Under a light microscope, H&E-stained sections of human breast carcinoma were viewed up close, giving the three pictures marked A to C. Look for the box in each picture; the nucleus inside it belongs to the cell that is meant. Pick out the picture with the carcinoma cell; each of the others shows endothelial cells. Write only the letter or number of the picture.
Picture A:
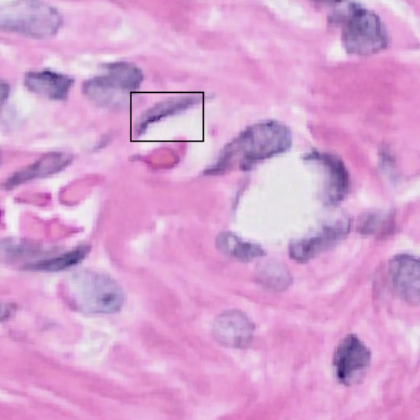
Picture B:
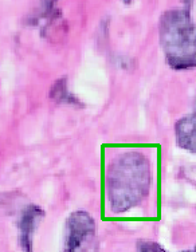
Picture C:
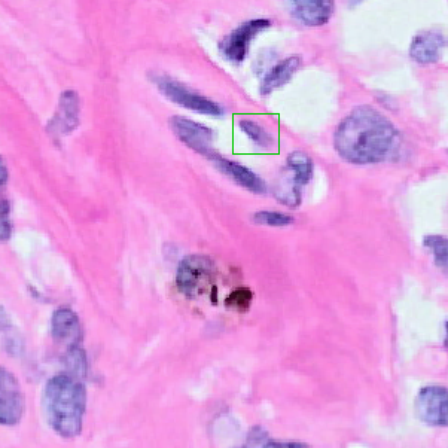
B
